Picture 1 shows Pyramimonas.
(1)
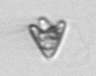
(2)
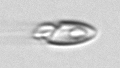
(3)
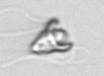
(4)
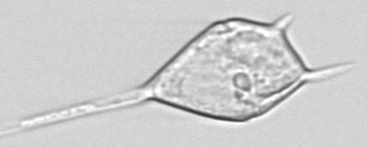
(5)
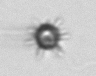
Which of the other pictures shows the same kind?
Picture 3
